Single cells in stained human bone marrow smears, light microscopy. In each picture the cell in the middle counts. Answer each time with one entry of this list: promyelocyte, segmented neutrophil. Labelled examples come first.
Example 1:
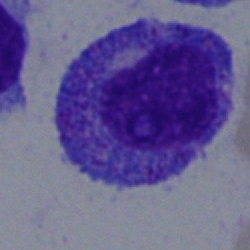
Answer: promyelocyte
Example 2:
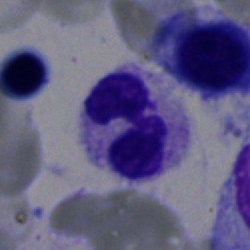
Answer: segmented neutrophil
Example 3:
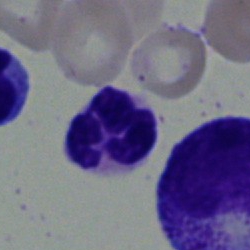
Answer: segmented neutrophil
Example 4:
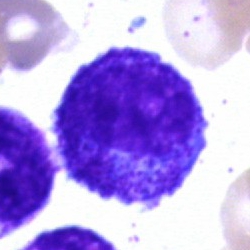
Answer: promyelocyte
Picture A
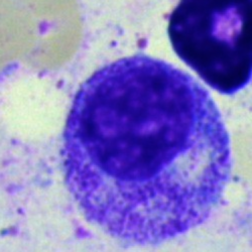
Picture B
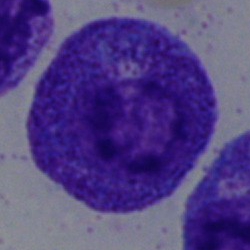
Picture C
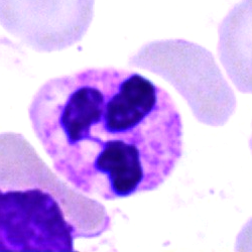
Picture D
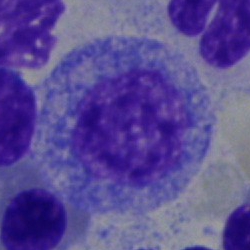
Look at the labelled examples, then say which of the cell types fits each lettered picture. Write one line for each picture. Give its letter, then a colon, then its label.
A: promyelocyte
B: promyelocyte
C: segmented neutrophil
D: promyelocyte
